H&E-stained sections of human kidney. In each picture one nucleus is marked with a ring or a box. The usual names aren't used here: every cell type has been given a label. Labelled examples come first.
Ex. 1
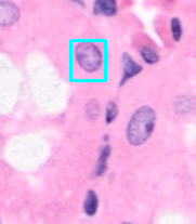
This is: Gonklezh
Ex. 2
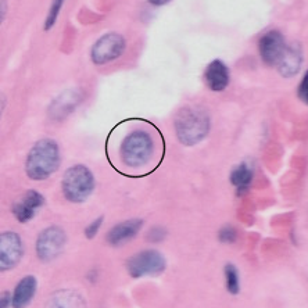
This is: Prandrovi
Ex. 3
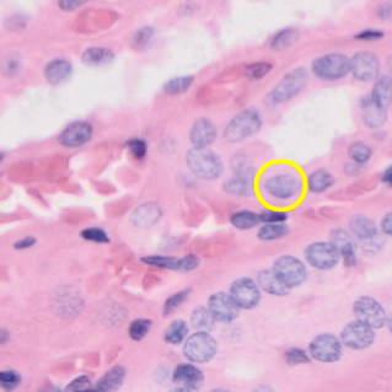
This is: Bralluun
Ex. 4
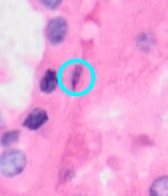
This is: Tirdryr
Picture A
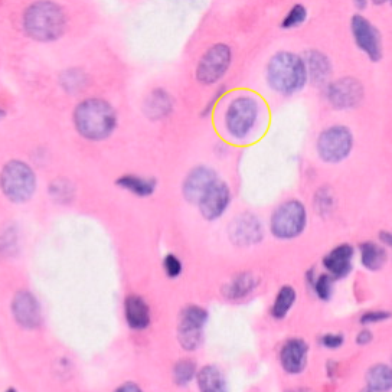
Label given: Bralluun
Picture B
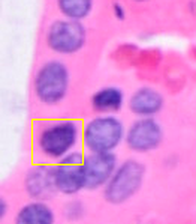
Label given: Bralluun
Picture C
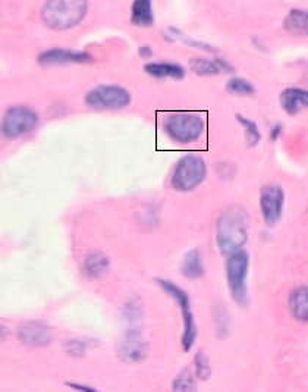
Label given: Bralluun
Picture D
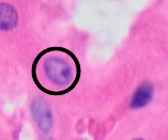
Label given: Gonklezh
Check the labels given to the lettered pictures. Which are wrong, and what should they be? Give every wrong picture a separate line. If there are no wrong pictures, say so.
C: not Bralluun but Prandrovi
